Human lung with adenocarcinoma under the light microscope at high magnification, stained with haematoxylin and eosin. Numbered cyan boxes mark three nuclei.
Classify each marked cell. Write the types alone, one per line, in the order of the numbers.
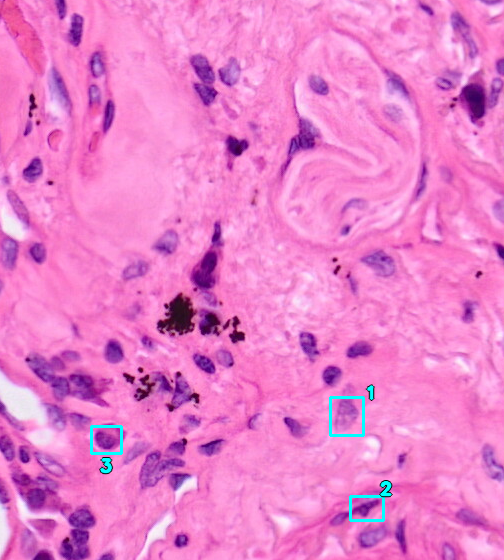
fibroblast
smooth muscle cell or pericyte
plasma cell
